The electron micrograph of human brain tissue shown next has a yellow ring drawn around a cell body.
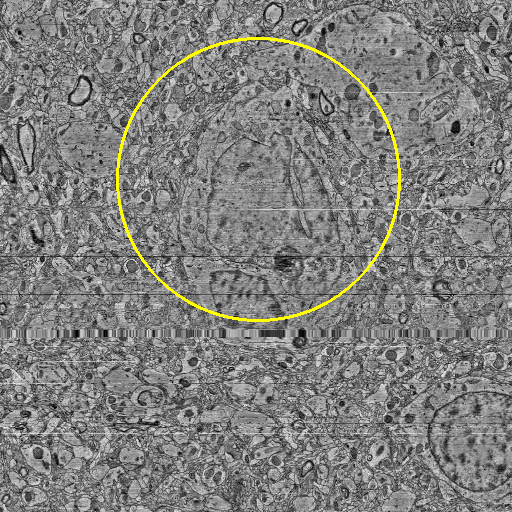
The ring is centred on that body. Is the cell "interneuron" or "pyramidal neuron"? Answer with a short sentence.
The cell in question is an interneuron.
